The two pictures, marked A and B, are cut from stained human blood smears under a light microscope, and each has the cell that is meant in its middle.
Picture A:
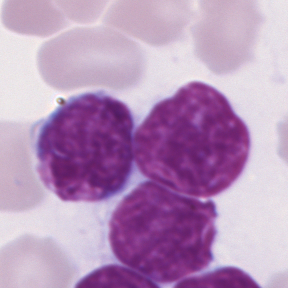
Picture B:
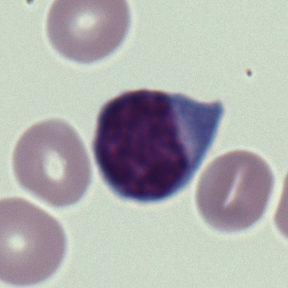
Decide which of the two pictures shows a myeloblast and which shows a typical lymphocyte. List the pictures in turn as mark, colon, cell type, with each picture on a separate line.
A: myeloblast
B: typical lymphocyte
